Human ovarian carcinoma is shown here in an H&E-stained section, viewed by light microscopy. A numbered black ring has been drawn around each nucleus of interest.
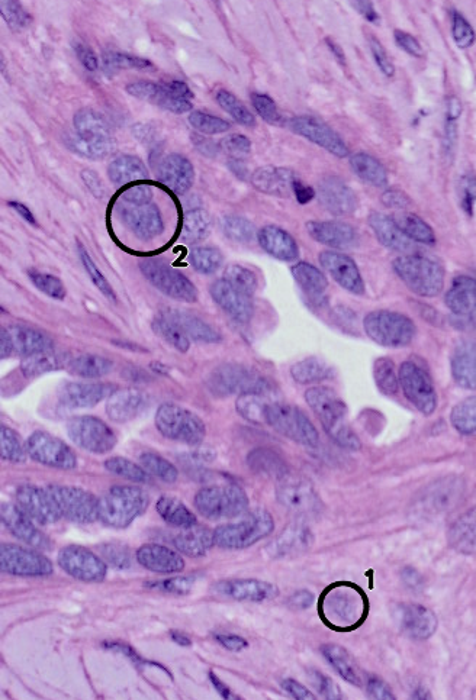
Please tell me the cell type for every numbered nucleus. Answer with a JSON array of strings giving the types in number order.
["fibroblast", "carcinoma cell"]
